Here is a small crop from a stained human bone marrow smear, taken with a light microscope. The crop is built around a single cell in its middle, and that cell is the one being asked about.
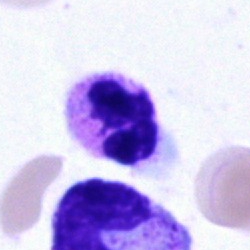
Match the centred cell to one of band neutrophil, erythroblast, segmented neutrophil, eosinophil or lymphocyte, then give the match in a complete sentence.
As for the central cell, it is a segmented neutrophil.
